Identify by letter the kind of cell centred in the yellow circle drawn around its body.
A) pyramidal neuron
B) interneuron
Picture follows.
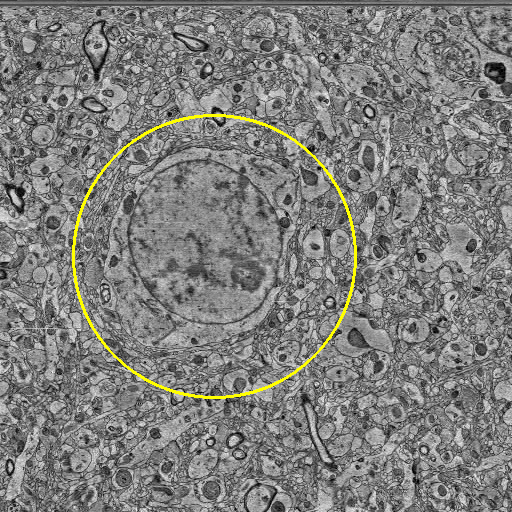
A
